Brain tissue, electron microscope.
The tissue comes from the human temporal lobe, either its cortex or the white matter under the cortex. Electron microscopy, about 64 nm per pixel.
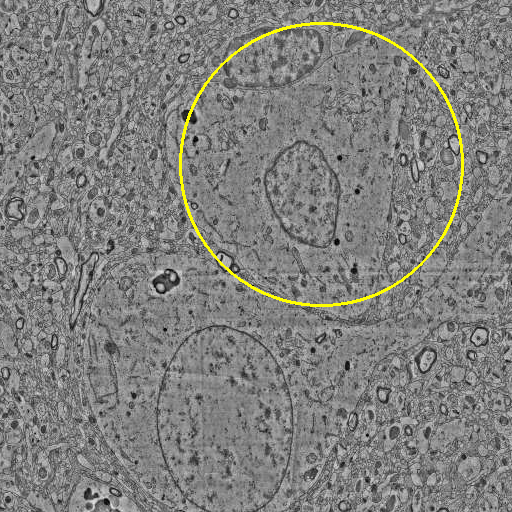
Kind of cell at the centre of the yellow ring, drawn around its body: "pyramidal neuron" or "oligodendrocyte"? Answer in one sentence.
The ring's centre falls on a pyramidal neuron.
